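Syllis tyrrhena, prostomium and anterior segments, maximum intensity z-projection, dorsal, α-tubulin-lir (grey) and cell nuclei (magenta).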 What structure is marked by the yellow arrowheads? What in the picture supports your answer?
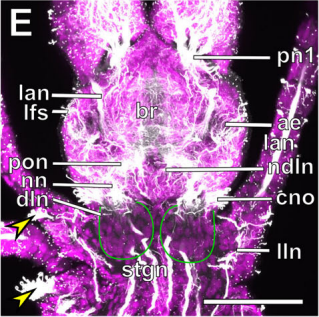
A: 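Bright white tufted structures at the lateral body margin. They lie on the surface at the left edge of the segments. The answer: dorsolateral ciliary patches.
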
